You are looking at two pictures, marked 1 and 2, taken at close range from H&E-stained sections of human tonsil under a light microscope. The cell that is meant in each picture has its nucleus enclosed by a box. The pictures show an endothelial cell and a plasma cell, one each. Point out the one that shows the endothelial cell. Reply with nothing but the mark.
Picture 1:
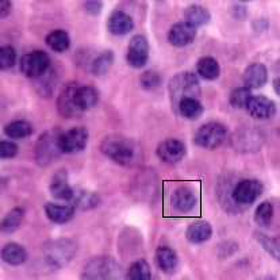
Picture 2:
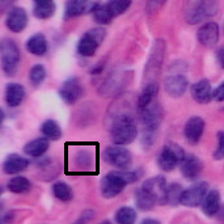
2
